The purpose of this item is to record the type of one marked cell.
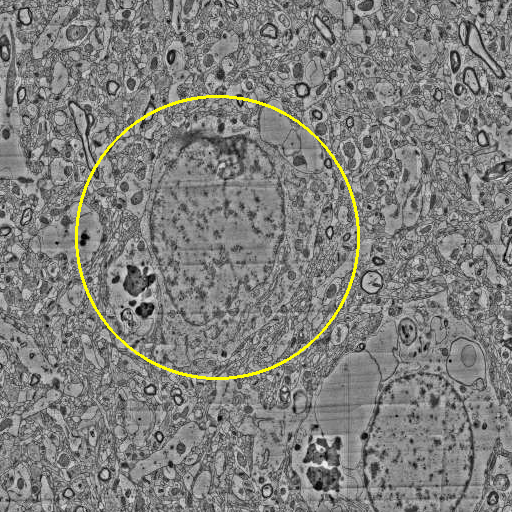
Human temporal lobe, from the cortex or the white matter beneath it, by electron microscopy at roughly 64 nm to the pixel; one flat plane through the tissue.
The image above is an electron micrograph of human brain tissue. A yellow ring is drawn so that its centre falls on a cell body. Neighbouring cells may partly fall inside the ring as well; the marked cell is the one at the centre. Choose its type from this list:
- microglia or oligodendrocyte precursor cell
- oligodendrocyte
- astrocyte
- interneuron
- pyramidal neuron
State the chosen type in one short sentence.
What the ring marks here is an interneuron.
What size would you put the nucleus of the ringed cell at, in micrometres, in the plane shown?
Roughly 12 micrometres by 9 micrometres, in this plane.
